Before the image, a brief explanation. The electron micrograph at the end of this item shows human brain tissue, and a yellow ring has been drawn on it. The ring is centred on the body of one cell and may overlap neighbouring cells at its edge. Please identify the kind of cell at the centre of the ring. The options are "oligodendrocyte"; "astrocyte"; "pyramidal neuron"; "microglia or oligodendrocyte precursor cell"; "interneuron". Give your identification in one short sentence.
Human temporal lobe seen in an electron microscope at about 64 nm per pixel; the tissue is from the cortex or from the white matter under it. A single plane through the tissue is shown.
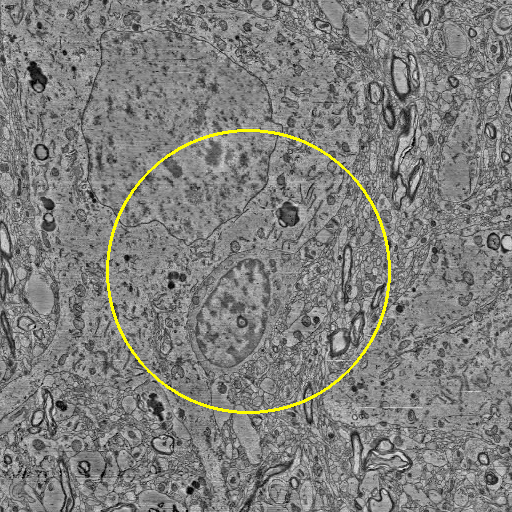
The ring has been placed around an oligodendrocyte.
